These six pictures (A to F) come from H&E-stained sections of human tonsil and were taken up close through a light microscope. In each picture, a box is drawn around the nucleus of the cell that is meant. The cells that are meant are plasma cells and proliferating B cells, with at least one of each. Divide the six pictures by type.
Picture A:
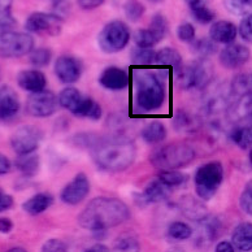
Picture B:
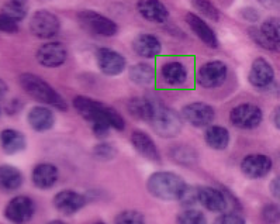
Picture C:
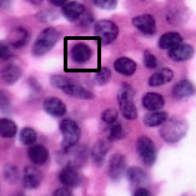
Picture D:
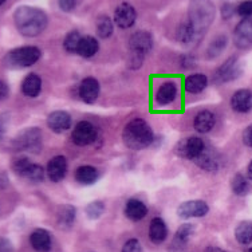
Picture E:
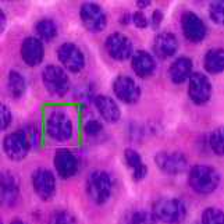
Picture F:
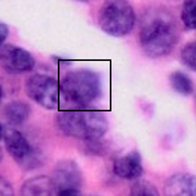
A: proliferating B cell
B: plasma cell
C: plasma cell
D: plasma cell
E: plasma cell
F: proliferating B cell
